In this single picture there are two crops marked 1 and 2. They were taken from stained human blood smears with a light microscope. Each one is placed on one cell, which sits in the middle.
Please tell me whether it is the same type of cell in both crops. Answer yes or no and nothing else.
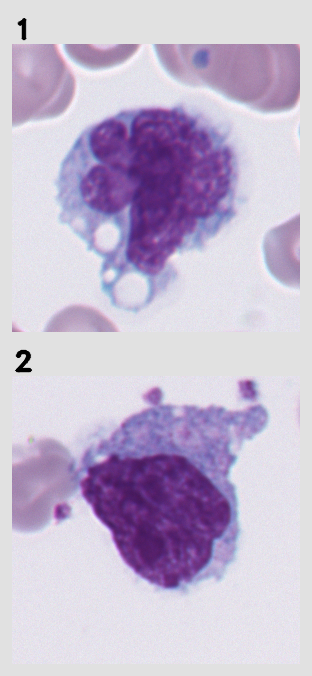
yes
